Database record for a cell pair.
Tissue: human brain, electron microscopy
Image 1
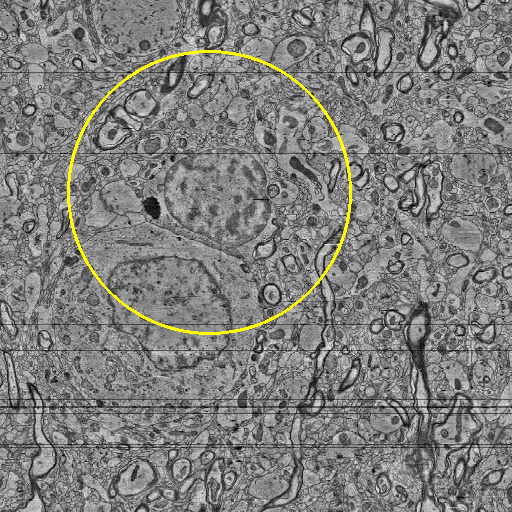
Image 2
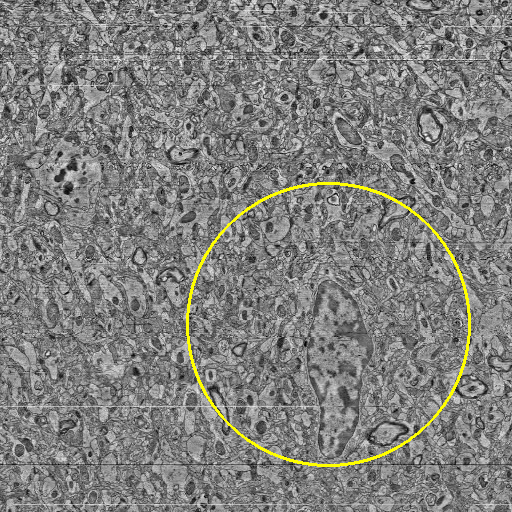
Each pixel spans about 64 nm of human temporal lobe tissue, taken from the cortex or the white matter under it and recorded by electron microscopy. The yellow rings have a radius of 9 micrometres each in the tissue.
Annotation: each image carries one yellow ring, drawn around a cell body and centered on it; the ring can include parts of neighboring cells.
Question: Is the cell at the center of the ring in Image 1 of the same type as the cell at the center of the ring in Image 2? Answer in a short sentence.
No, the cells are of two types.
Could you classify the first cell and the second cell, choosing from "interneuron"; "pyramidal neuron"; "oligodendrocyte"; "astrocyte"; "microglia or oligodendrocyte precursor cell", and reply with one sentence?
The second cell is a microglial cell or oligodendrocyte precursor cell, while the first is an oligodendrocyte.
